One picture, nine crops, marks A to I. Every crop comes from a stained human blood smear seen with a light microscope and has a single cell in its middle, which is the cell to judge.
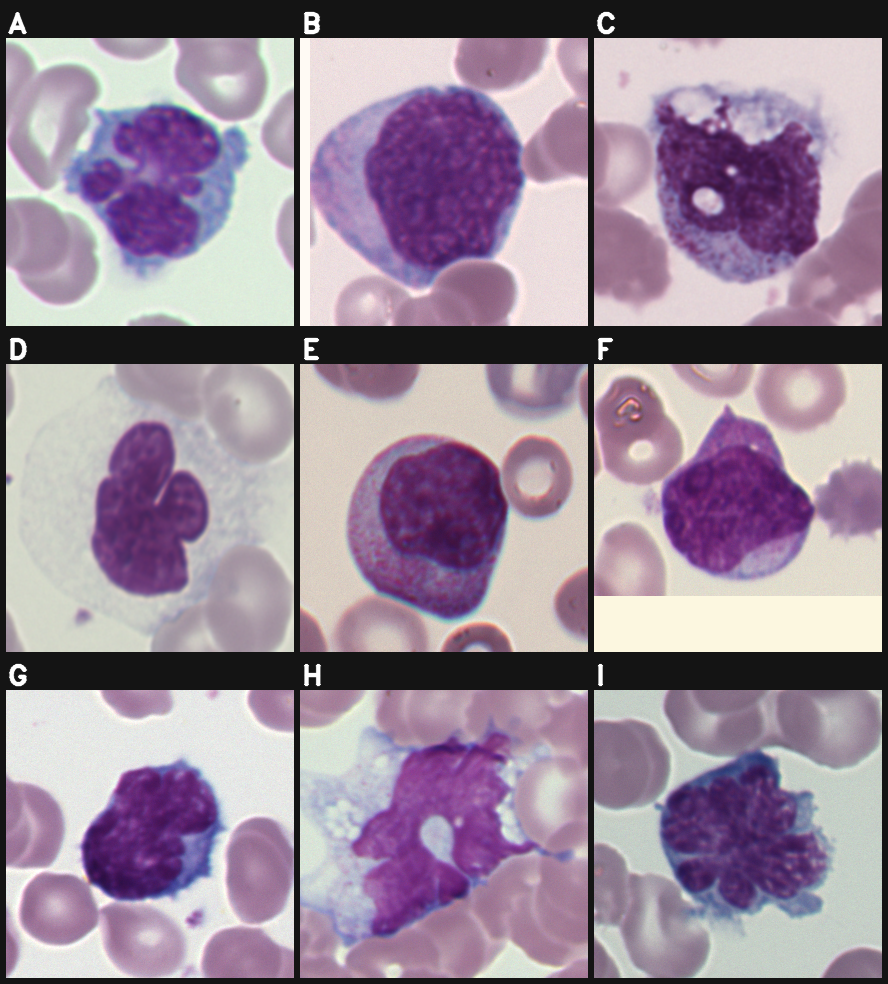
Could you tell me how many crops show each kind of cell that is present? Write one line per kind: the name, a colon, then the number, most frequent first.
monocyte: 6
atypical promyelocyte: 3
